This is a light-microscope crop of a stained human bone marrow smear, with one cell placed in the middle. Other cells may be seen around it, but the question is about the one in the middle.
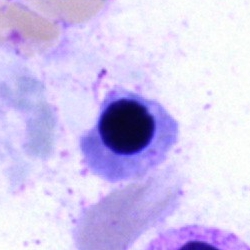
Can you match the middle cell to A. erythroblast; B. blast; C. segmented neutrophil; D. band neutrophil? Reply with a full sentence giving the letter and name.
The centrally positioned cell is an erythroblast, consistent with option A, which is correct.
